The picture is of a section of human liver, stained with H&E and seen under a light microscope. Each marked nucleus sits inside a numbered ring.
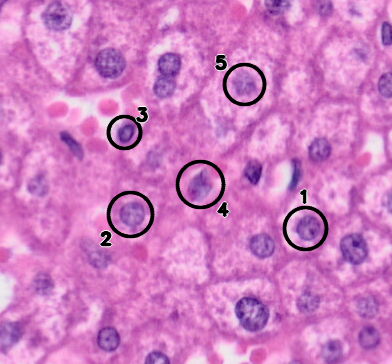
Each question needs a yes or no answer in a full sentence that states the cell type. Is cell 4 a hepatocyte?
No, the cell given the number 4 is an endothelial cell, so not a hepatocyte.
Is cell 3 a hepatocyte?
No, calling cell 3 a hepatocyte is incorrect; it is a Kupffer cell.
